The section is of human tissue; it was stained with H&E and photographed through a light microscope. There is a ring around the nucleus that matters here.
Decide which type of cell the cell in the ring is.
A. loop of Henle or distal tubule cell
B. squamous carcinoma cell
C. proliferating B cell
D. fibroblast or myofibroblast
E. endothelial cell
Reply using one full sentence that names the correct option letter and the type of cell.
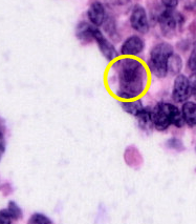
Identified correctly by option C, the cell in the ring is a proliferating B cell.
